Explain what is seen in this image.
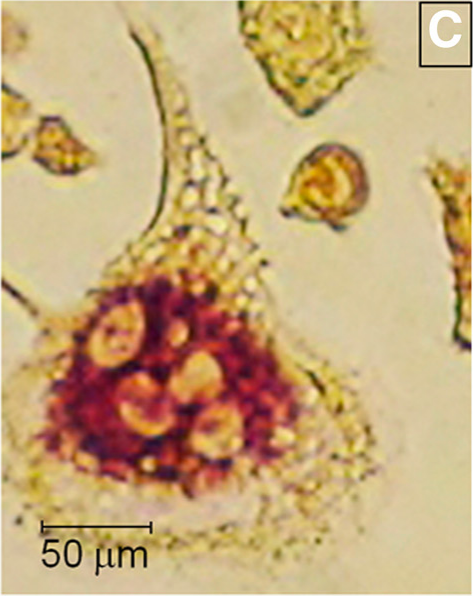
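This is a mature osteoclast in culture, a giant cell far larger than the small round or spindle-shaped cells scattered around it. Its body is broad and roughly triangular, and it extends a long tapering cytoplasmic process upward. Several pale oval nuclei, about four or more, lie clustered together in the central part of the cell. The cytoplasm around them is packed with a granular red-purple reaction product. The stain is densest around the nuclei and fades toward the pale, finely vacuolated periphery and the process. The small neighbouring cells are yellowish and lack the red-purple stain.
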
